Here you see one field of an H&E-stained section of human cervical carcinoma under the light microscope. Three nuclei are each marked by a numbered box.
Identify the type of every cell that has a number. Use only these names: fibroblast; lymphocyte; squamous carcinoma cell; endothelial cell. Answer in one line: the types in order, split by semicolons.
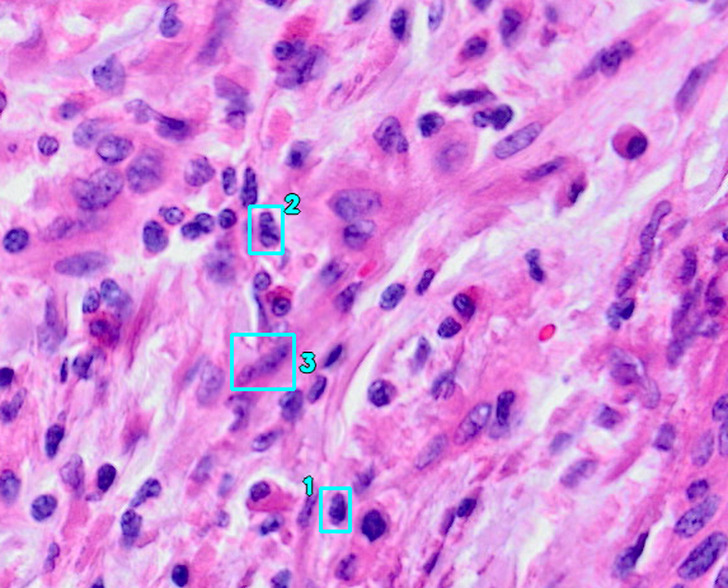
lymphocyte; lymphocyte; endothelial cell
